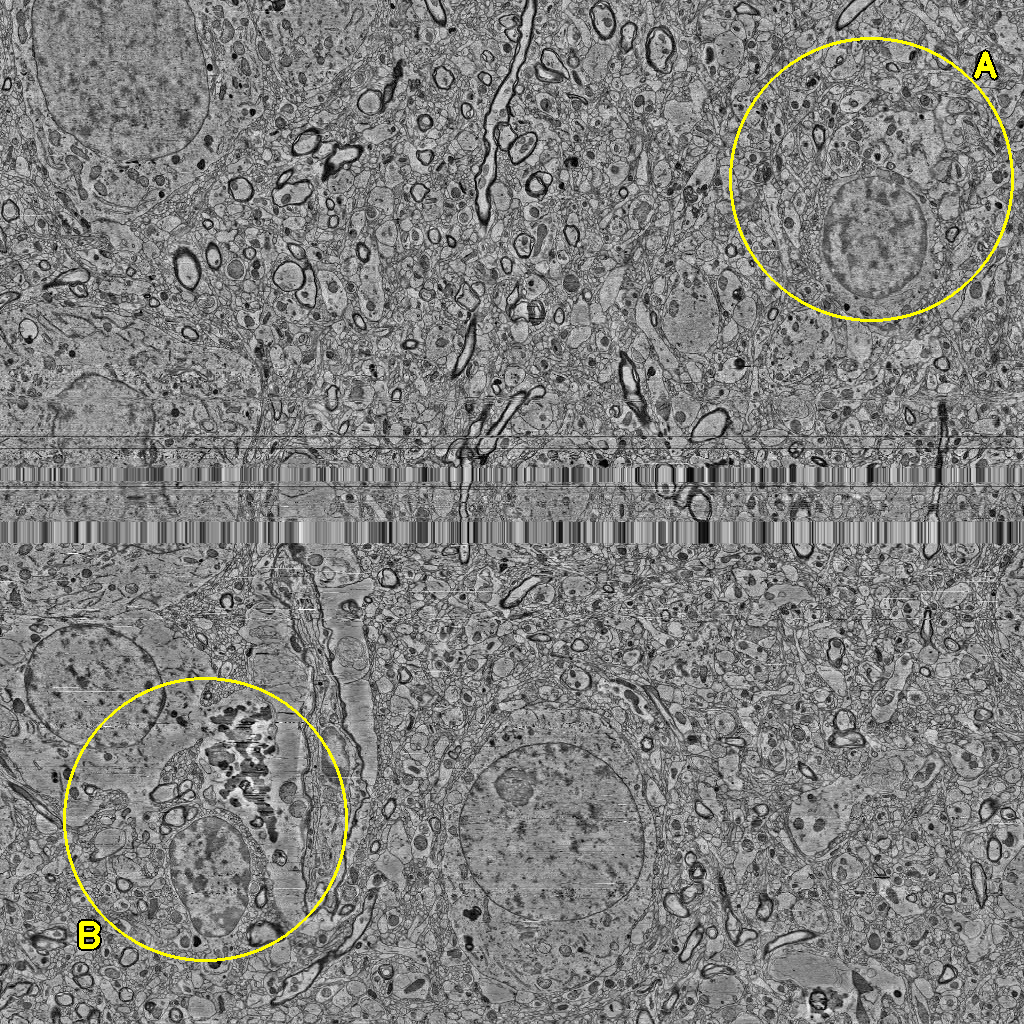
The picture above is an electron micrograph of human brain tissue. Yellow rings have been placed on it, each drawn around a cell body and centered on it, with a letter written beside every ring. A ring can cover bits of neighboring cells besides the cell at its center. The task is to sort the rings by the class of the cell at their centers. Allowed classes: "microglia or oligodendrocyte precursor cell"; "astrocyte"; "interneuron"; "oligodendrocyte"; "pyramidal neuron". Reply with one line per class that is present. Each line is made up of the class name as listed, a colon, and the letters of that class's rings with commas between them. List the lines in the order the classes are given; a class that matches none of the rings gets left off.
microglia or oligodendrocyte precursor cell: B
oligodendrocyte: A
